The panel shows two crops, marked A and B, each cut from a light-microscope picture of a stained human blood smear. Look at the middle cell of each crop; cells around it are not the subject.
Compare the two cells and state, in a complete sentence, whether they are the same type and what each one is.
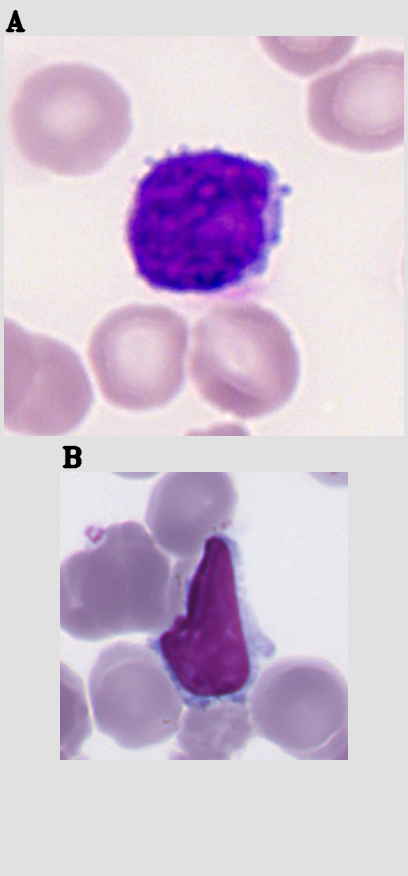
Yes, both crops depict lymphocytes at the centre.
